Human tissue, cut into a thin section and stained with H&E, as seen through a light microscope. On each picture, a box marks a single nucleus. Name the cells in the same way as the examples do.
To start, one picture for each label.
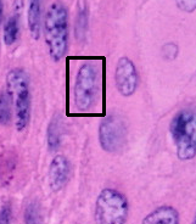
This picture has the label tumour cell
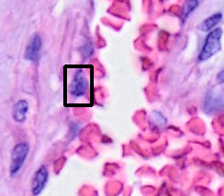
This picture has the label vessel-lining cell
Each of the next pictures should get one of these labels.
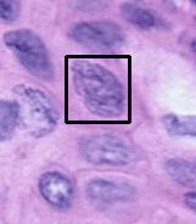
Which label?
tumour cell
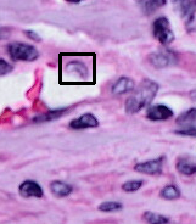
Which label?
vessel-lining cell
